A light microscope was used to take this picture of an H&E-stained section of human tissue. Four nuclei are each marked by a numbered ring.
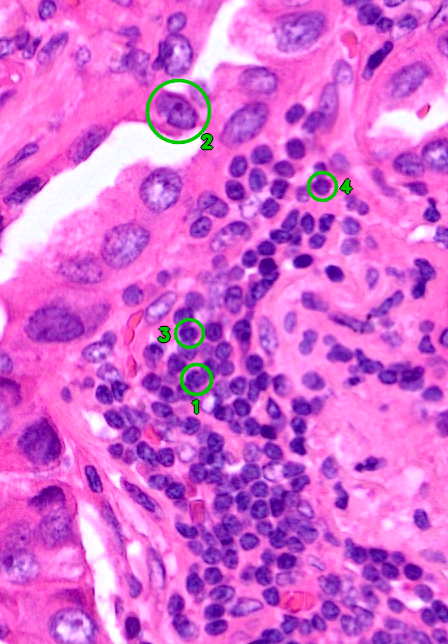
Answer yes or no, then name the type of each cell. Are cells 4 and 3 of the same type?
Yes, cells 4 and 3 are both identified as lymphocytes.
